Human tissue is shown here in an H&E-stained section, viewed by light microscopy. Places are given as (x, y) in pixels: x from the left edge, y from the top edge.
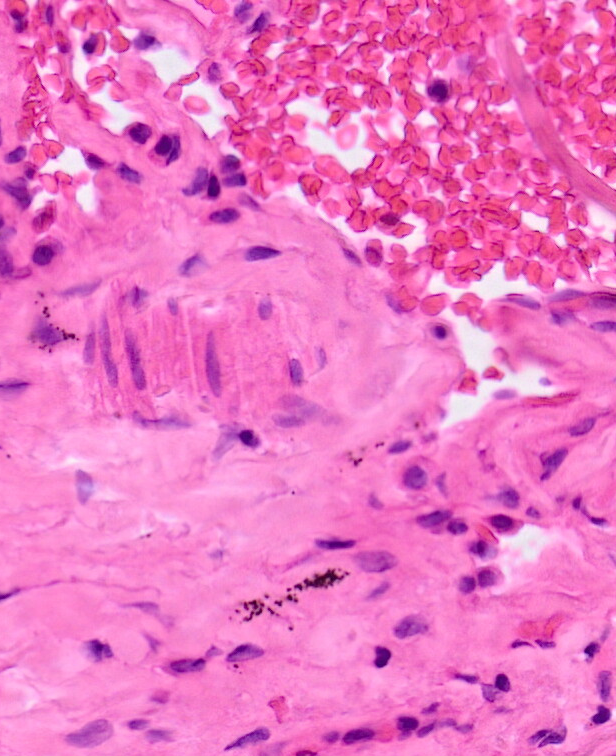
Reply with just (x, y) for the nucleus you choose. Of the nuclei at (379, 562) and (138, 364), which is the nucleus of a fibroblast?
(379, 562)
